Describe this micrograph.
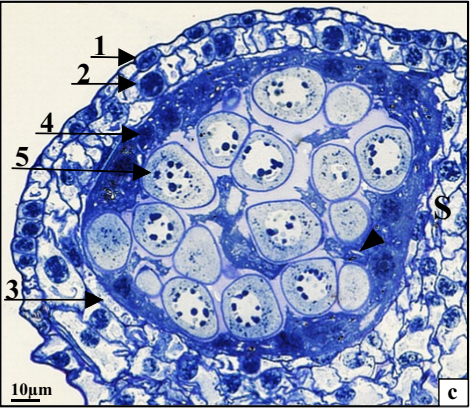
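This is a cross section of a pollen sac, with the anther wall built of layers around a central mass of large meiocytes. From outside inward lie a flat epidermis, an endothecium of larger pale cells, a thin middle layer and a tapetum of dense dark blue cells, while the rounded meiocytes in the centre have large pale nuclei with dark nucleoli and chromatin granules.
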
